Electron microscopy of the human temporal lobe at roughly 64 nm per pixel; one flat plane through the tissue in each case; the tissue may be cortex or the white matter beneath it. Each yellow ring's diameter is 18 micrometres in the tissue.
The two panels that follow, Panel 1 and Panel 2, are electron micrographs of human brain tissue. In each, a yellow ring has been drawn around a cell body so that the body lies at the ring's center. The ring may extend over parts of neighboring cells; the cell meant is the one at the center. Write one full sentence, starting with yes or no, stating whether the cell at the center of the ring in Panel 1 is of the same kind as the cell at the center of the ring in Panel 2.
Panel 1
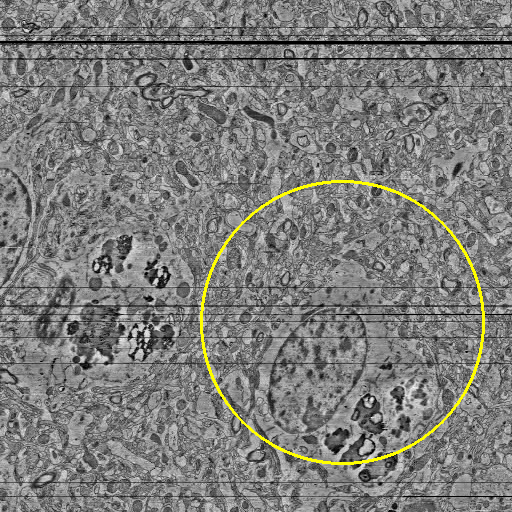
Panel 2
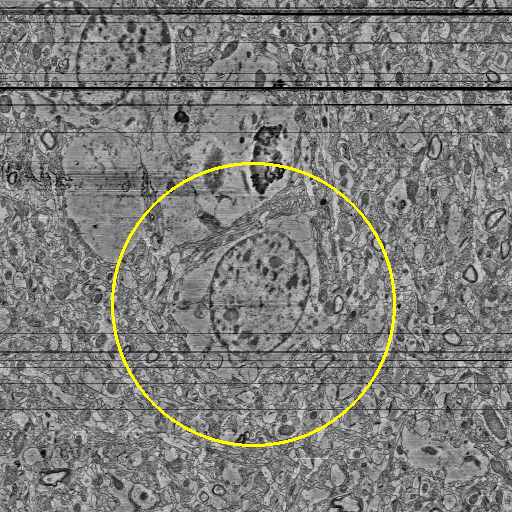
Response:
Yes, the cells in both panels are of the same kind.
